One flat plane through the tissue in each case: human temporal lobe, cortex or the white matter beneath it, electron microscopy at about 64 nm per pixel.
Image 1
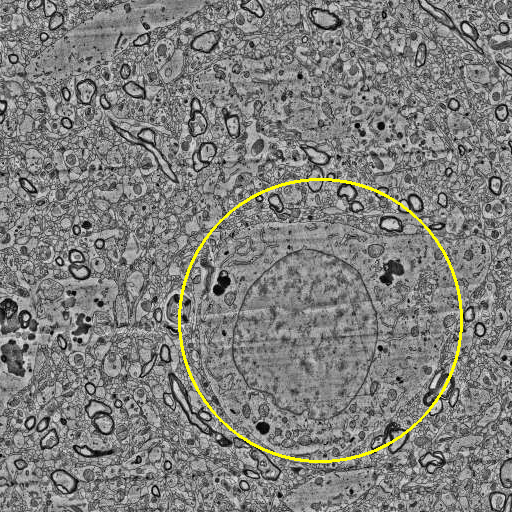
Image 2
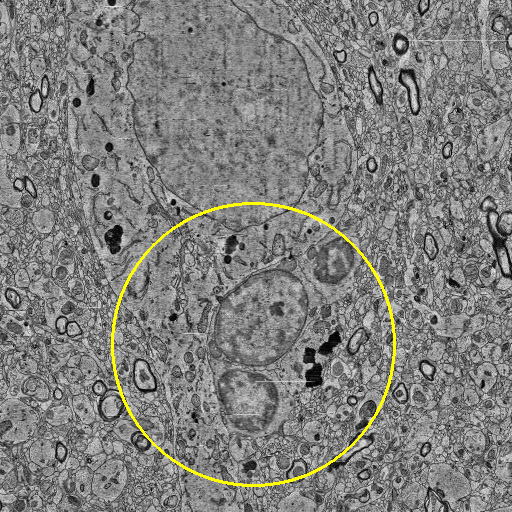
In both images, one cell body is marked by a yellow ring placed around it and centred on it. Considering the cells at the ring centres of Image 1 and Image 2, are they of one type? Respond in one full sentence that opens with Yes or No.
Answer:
No, two types apply to the ring-centred cells of Image 1 and Image 2.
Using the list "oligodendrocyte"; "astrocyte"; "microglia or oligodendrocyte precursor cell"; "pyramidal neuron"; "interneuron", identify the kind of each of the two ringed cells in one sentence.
The first is a pyramidal neuron and the second is an oligodendrocyte.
